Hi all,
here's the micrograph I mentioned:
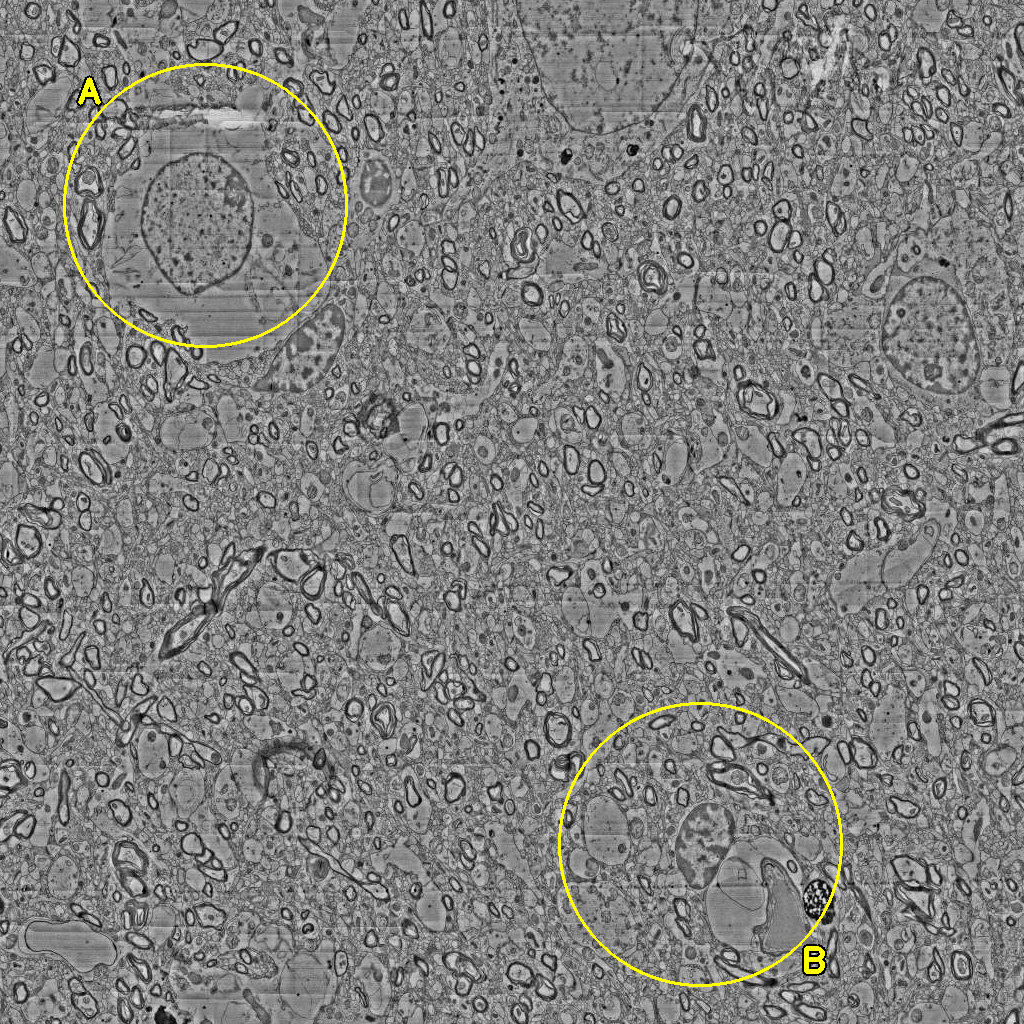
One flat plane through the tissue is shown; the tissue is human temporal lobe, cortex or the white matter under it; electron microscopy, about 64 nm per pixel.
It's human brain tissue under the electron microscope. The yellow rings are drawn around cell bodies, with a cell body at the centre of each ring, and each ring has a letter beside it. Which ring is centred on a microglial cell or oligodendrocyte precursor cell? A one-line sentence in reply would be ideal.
It's the one labelled B.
